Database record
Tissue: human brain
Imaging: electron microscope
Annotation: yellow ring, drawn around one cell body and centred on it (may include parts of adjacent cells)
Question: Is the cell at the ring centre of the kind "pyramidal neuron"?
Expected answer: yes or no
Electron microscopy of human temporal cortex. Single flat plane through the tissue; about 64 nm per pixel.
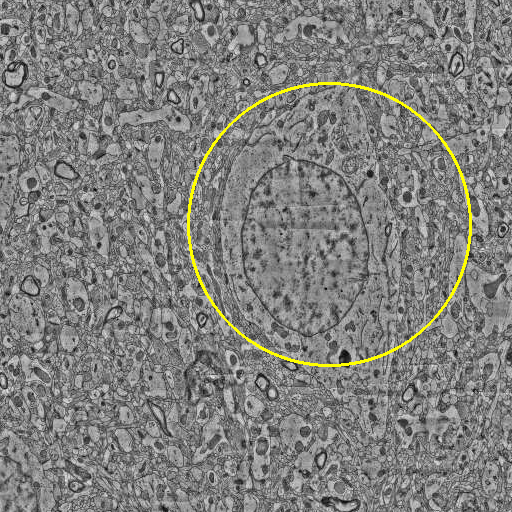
yes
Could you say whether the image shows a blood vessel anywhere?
No, no vessel appears in the picture.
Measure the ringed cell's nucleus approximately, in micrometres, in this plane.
In this plane the nucleus spans approximately 11 by 8 micrometers.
